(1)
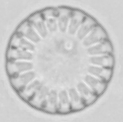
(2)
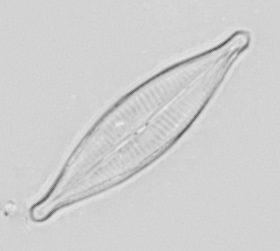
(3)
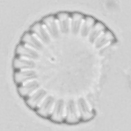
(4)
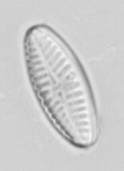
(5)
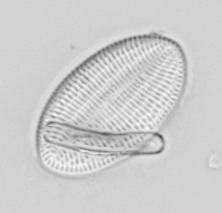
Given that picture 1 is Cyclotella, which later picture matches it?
3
